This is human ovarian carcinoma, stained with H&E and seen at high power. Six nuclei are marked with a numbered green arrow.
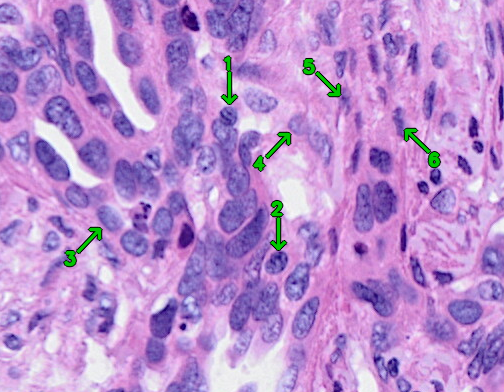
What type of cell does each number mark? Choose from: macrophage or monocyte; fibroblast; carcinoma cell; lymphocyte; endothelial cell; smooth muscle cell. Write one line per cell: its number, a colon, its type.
1: lymphocyte
2: lymphocyte
3: carcinoma cell
4: fibroblast
5: fibroblast
6: fibroblast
